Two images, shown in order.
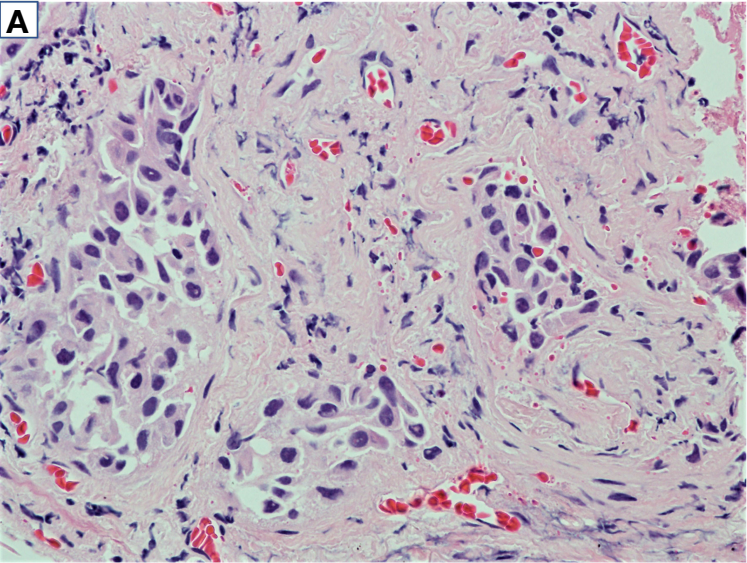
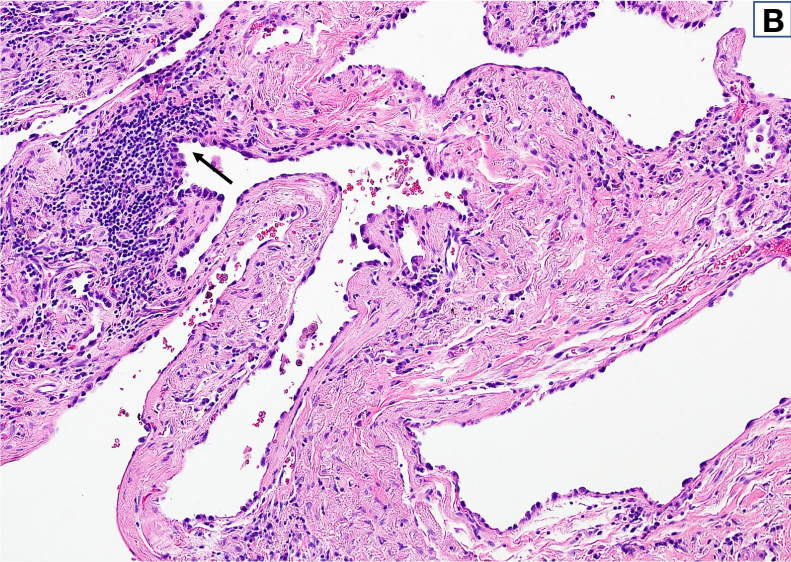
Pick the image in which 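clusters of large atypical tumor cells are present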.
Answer: The first image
